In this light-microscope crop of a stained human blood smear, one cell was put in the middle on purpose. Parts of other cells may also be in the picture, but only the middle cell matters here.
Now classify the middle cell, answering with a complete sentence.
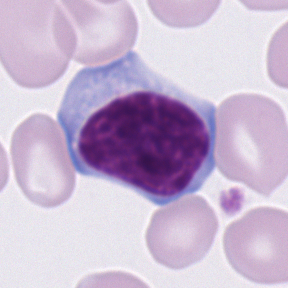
The crop's centre is taken up by a lymphocyte.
